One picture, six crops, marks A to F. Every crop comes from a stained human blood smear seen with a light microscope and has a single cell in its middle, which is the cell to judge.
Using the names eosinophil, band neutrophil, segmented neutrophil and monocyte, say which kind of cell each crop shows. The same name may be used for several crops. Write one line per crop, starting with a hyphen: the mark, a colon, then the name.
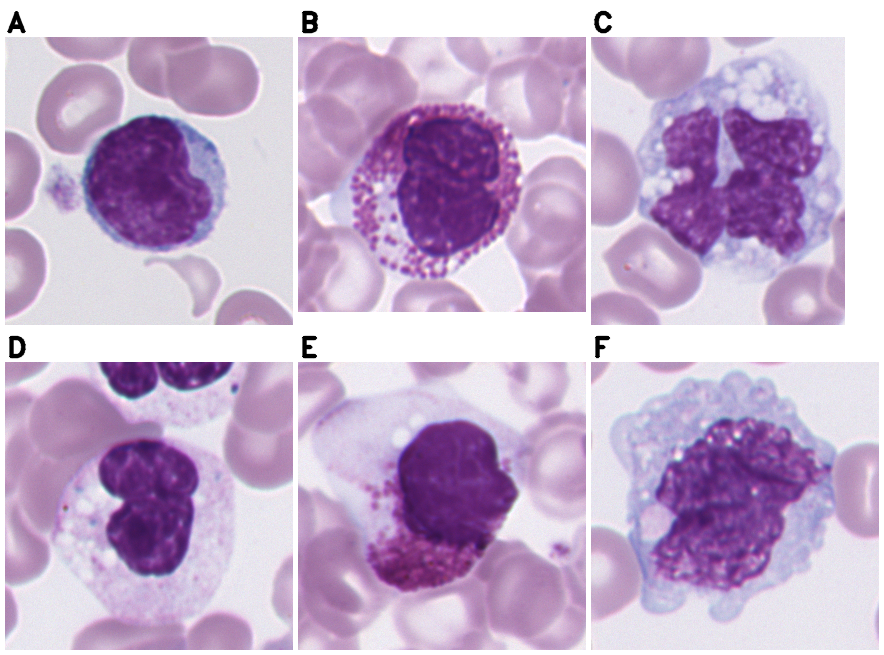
- A: monocyte
- B: eosinophil
- C: monocyte
- D: segmented neutrophil
- E: eosinophil
- F: monocyte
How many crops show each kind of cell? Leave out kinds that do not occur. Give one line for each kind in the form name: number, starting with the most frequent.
monocyte: 3
eosinophil: 2
segmented neutrophil: 1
